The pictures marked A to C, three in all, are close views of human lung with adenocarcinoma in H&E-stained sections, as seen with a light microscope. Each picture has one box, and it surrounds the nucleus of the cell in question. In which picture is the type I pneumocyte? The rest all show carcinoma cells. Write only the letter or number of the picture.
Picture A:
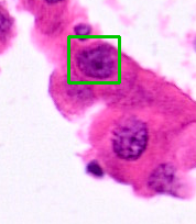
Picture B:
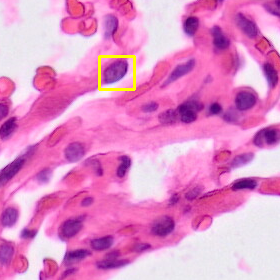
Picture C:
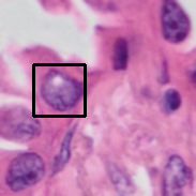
B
